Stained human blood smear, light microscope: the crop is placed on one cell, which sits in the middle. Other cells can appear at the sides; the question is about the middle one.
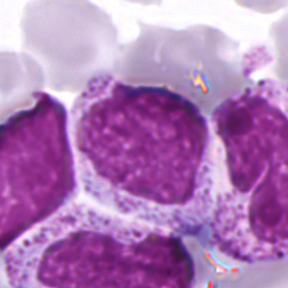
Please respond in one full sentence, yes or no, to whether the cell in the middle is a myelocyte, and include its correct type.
Yes, the cell at the middle is a myelocyte.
